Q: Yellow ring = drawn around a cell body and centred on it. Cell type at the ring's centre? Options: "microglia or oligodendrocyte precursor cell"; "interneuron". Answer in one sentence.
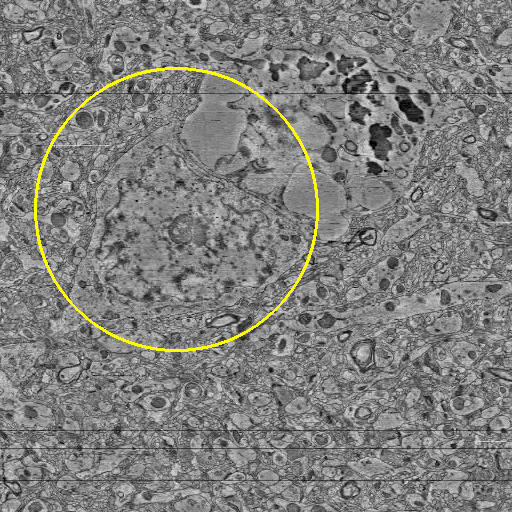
Centred in the ring is an interneuron.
